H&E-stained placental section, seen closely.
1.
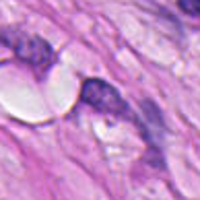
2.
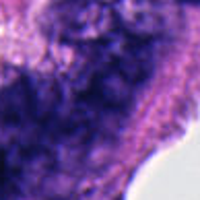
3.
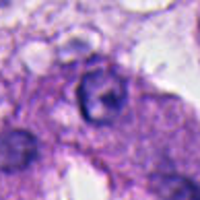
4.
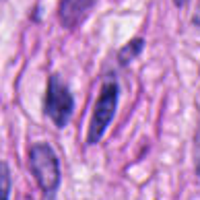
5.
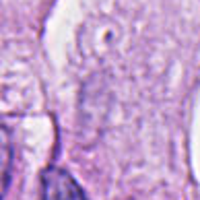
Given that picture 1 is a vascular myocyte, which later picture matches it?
4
